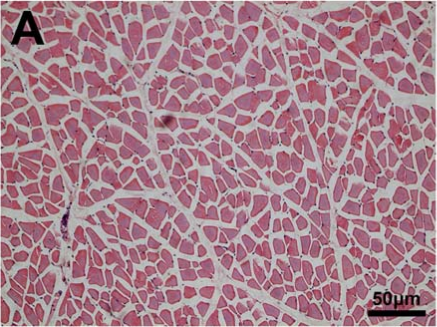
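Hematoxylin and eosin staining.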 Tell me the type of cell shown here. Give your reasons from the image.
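Muscle fiber. The profiles are separated by pale gaps and grouped into larger bundles by wider pale seams.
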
